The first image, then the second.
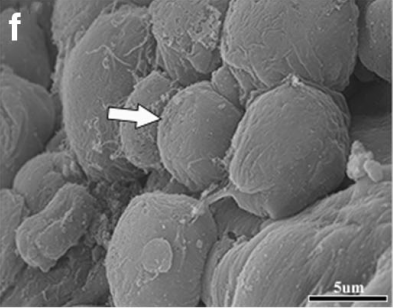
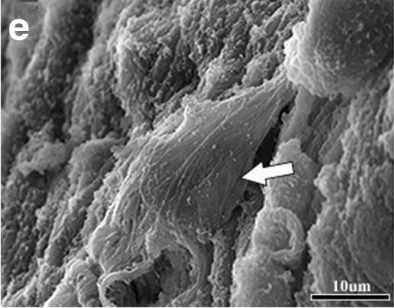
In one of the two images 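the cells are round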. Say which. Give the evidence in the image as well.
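The first image. Second image: the marked cell is flat and spread on the substrate. First image: the cells are spherical and bulge from the surface.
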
